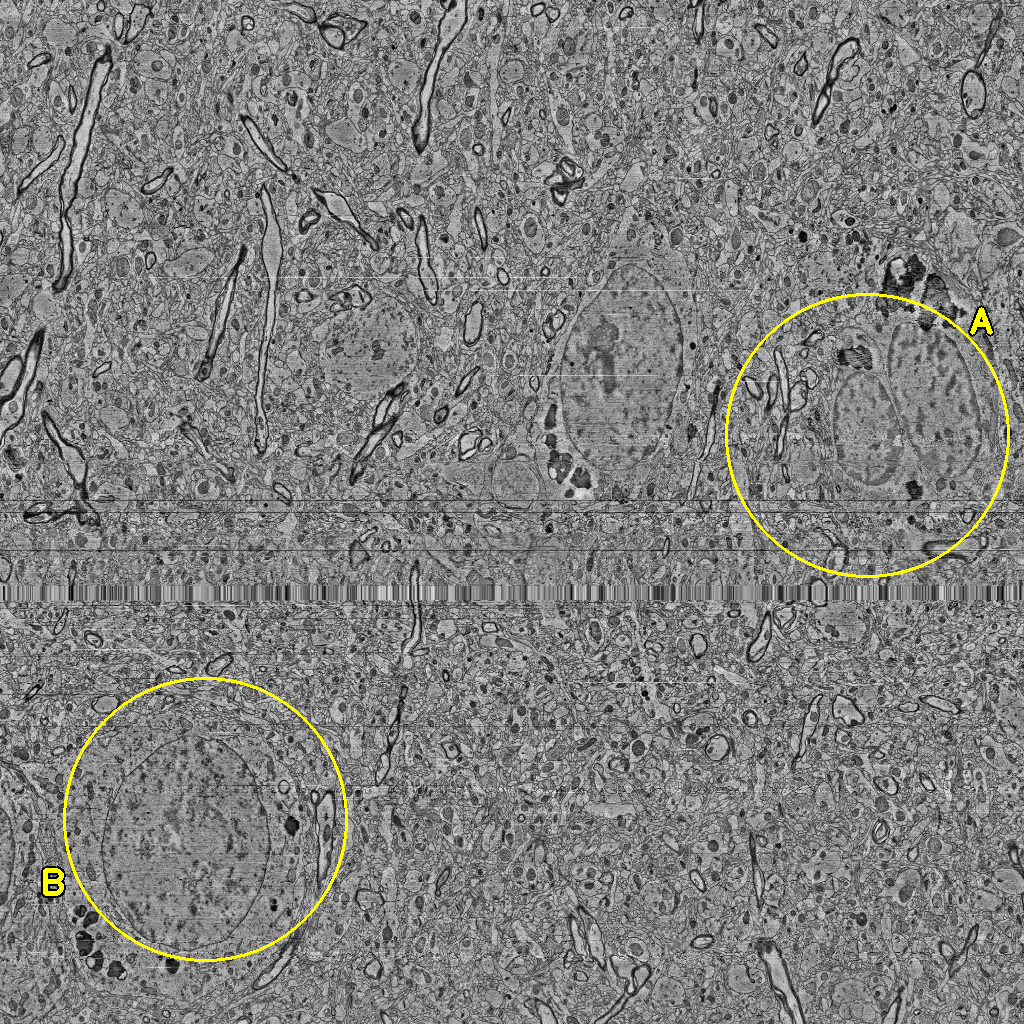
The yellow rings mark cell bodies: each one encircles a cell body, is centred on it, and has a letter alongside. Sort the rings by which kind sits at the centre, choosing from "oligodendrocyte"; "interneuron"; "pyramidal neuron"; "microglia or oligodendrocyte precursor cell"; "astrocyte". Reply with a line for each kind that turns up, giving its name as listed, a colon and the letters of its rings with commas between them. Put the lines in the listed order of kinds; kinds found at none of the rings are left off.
oligodendrocyte: A
pyramidal neuron: B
